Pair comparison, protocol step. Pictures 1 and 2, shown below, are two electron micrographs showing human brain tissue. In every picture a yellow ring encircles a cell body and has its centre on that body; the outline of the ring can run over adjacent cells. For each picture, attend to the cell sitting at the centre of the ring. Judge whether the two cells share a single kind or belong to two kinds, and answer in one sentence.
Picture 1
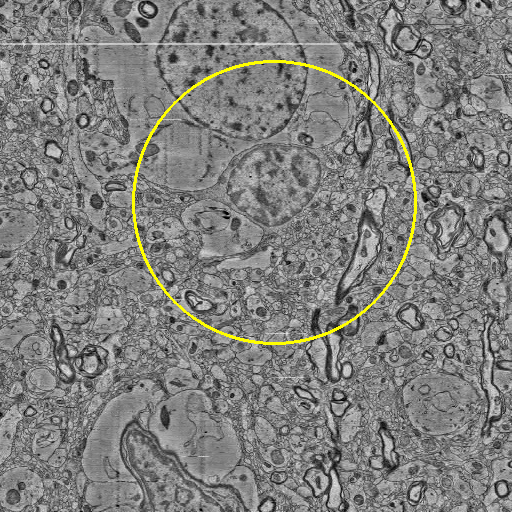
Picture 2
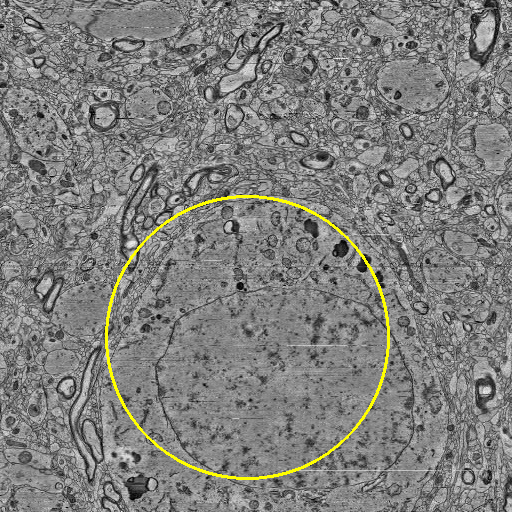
The two cells at the ring centres in Picture 1 and Picture 2 belong to two kinds.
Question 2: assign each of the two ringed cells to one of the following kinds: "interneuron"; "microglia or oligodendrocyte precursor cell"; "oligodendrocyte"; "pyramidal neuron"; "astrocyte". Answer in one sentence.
The two cells are an oligodendrocyte in the first picture and a pyramidal neuron in the second.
